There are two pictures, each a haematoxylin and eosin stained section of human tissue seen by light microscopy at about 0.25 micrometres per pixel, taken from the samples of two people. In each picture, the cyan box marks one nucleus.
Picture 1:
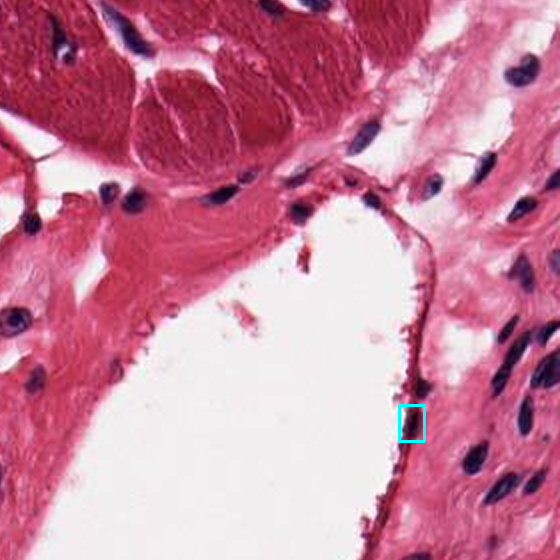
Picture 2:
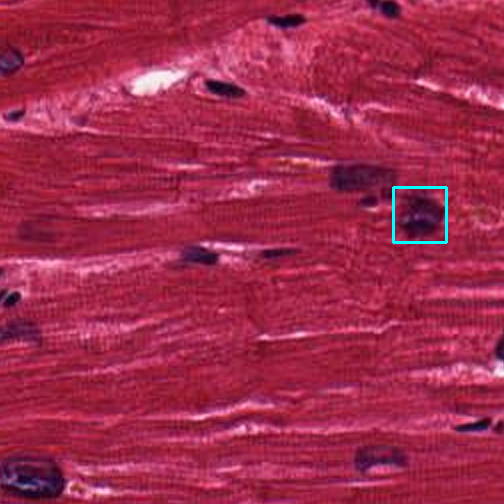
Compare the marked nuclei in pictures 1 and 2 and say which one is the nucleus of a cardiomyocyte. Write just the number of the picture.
2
